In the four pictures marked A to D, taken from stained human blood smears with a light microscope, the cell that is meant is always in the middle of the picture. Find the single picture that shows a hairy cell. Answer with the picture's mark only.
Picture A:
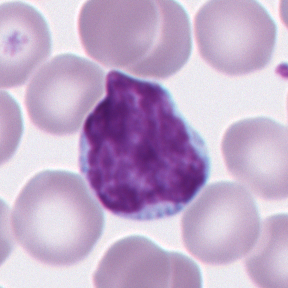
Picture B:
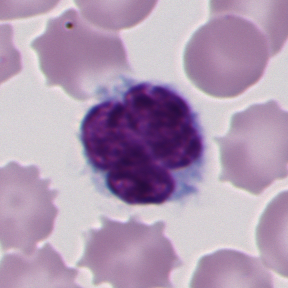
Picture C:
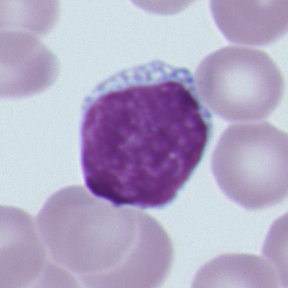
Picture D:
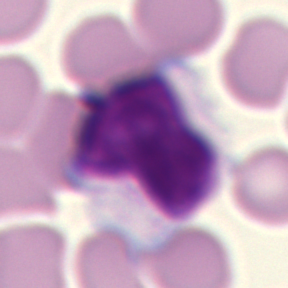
B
